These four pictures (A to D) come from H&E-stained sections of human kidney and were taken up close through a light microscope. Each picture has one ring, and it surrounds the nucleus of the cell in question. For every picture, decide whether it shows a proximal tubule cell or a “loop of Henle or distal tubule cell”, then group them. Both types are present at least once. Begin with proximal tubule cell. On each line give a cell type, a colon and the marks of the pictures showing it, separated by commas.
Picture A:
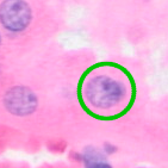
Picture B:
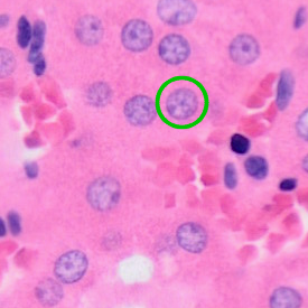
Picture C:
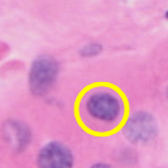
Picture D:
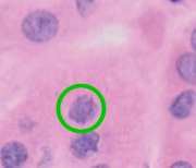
proximal tubule cell: A, B
loop of Henle or distal tubule cell: C, D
